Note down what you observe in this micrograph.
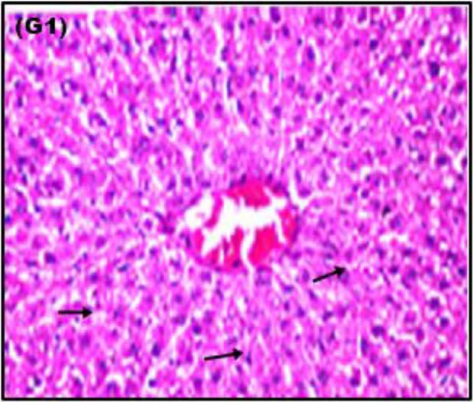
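Liver parenchyma with cords of hepatocytes radiating from a central vein filled with red blood cells. Hepatocytes are polygonal, with pink cytoplasm and round dark central nuclei, separated by narrow pale sinusoids.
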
